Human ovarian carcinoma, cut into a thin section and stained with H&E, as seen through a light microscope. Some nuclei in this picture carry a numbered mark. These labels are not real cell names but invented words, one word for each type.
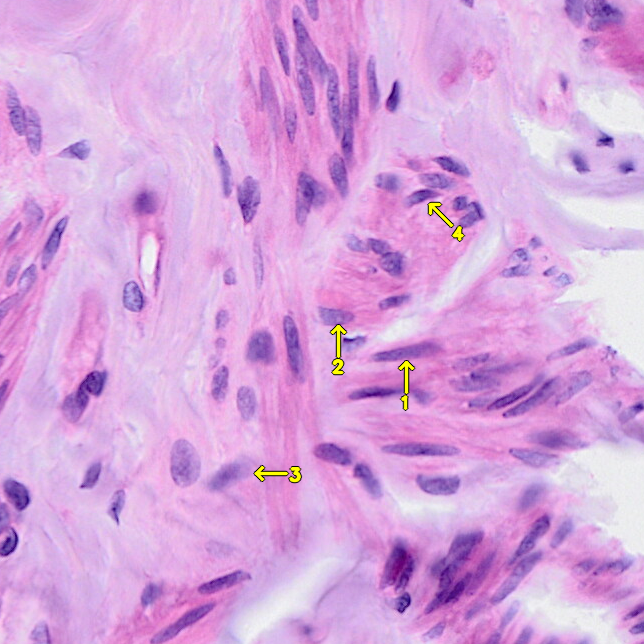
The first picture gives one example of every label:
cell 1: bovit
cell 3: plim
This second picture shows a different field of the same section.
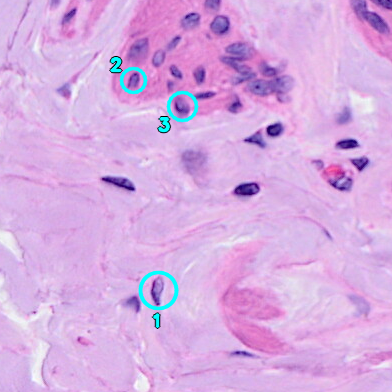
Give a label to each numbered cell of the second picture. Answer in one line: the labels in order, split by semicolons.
plim; bovit; bovit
